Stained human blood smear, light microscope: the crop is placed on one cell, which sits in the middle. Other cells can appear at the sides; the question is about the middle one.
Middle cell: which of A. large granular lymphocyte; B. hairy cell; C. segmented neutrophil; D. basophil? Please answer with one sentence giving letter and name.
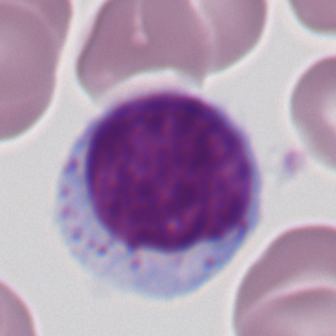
The cell at the centre is a large granular lymphocyte, and option A accordingly is correct.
